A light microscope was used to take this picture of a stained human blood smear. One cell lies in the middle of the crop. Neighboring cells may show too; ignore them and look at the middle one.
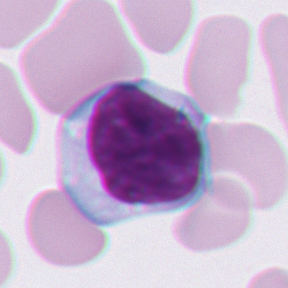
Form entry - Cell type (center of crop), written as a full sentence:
Answering briefly, the cell in the middle is a typical lymphocyte.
